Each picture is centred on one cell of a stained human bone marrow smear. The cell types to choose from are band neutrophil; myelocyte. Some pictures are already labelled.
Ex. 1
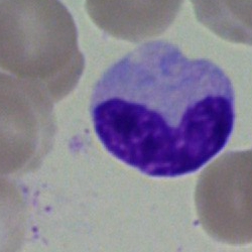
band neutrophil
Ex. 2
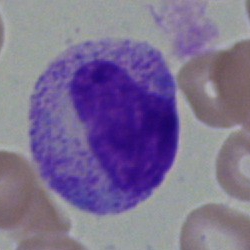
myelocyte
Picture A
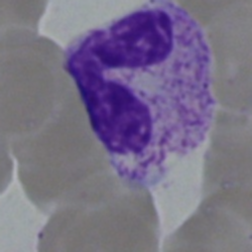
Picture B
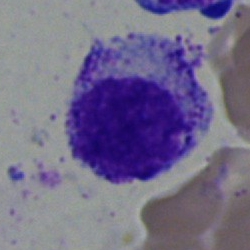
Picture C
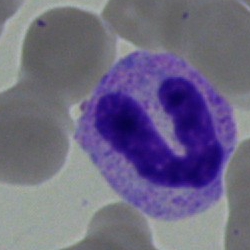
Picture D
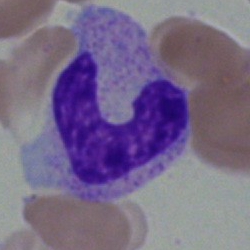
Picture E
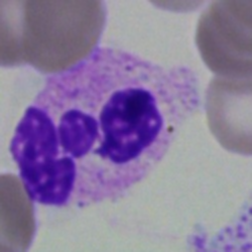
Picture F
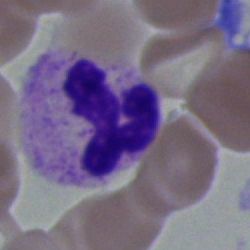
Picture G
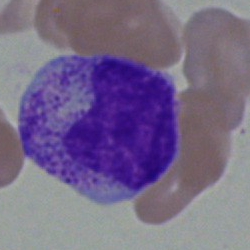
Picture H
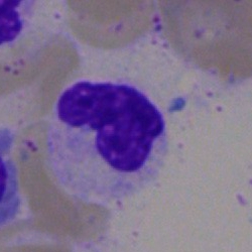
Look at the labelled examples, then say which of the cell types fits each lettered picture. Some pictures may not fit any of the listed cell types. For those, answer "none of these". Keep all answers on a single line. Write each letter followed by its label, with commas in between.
A band neutrophil, B myelocyte, C band neutrophil, D band neutrophil, E none of these, F none of these, G myelocyte, H band neutrophil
